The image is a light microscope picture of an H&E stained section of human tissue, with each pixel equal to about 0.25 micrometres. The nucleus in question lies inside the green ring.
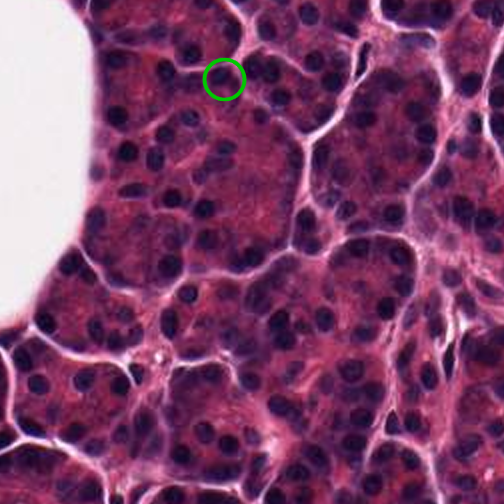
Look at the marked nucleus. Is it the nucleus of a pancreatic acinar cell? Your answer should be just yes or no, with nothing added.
yes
